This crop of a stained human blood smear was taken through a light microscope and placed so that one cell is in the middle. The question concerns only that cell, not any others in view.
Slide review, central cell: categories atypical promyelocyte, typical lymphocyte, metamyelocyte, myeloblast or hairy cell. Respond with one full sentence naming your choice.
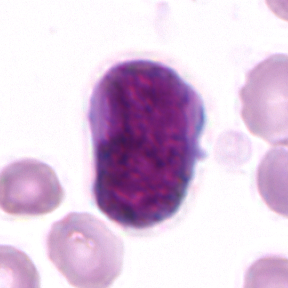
The cell the crop is centered on is an atypical promyelocyte.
